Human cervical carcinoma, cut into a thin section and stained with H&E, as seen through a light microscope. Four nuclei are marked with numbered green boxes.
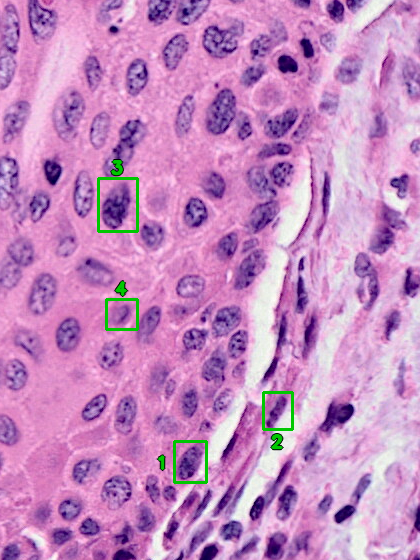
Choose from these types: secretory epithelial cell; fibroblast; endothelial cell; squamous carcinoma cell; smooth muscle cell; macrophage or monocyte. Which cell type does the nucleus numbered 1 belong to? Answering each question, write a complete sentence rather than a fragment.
The numeral 1 marks a squamous carcinoma cell in this section.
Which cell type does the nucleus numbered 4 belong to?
Cell 4 of the marked set is a squamous carcinoma cell.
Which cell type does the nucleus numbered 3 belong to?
The cell tagged with 3 in this tissue section is a squamous carcinoma cell.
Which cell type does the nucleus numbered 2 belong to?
The cell carrying label 2 is identified as a fibroblast.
